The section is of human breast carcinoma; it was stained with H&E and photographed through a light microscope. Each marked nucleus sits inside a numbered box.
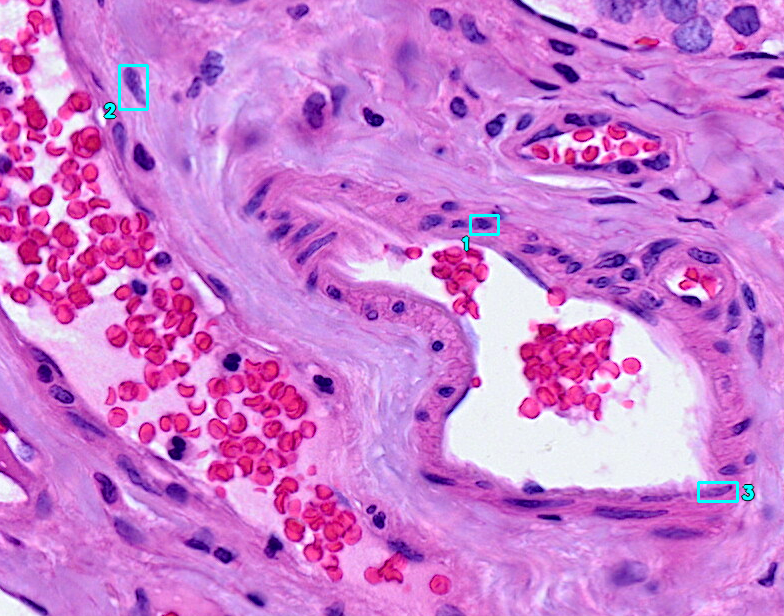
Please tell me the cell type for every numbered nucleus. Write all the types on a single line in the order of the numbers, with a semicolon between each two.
endothelial cell; fibroblast; endothelial cell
